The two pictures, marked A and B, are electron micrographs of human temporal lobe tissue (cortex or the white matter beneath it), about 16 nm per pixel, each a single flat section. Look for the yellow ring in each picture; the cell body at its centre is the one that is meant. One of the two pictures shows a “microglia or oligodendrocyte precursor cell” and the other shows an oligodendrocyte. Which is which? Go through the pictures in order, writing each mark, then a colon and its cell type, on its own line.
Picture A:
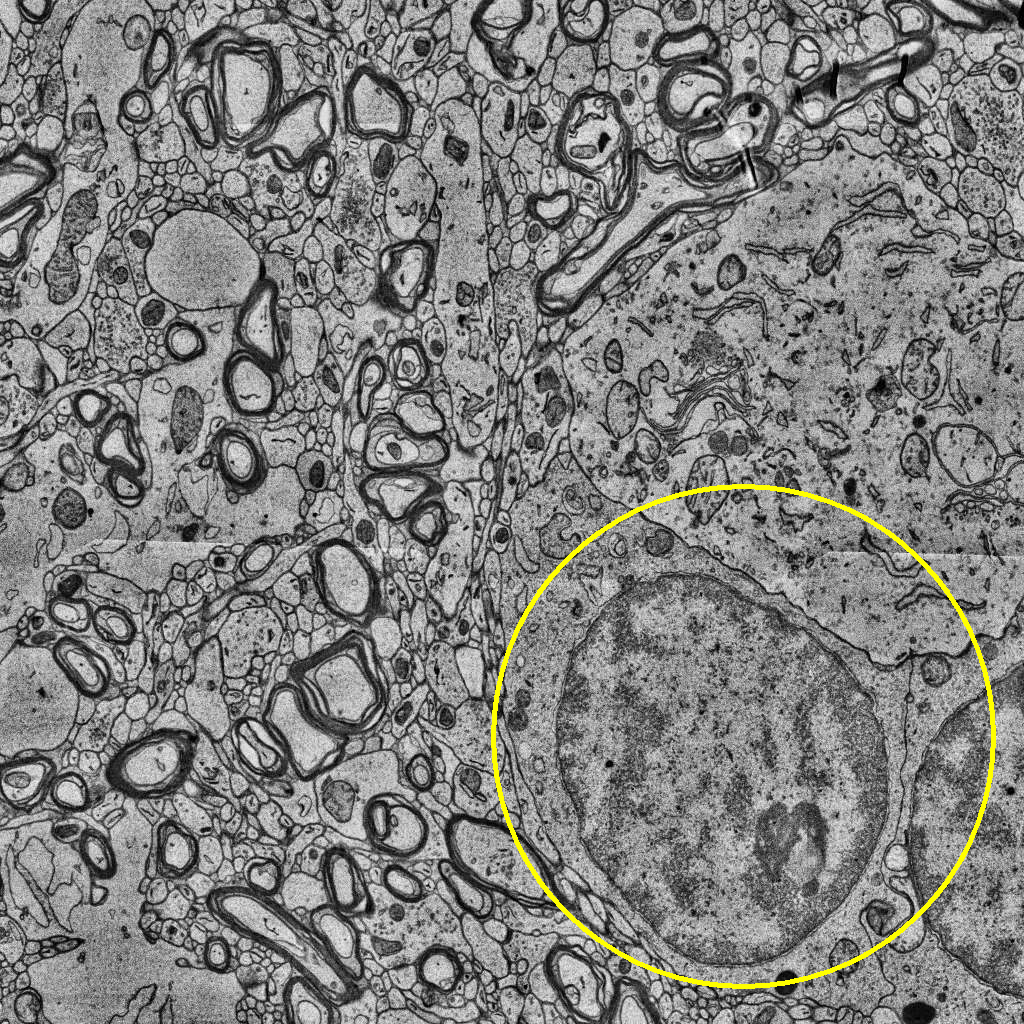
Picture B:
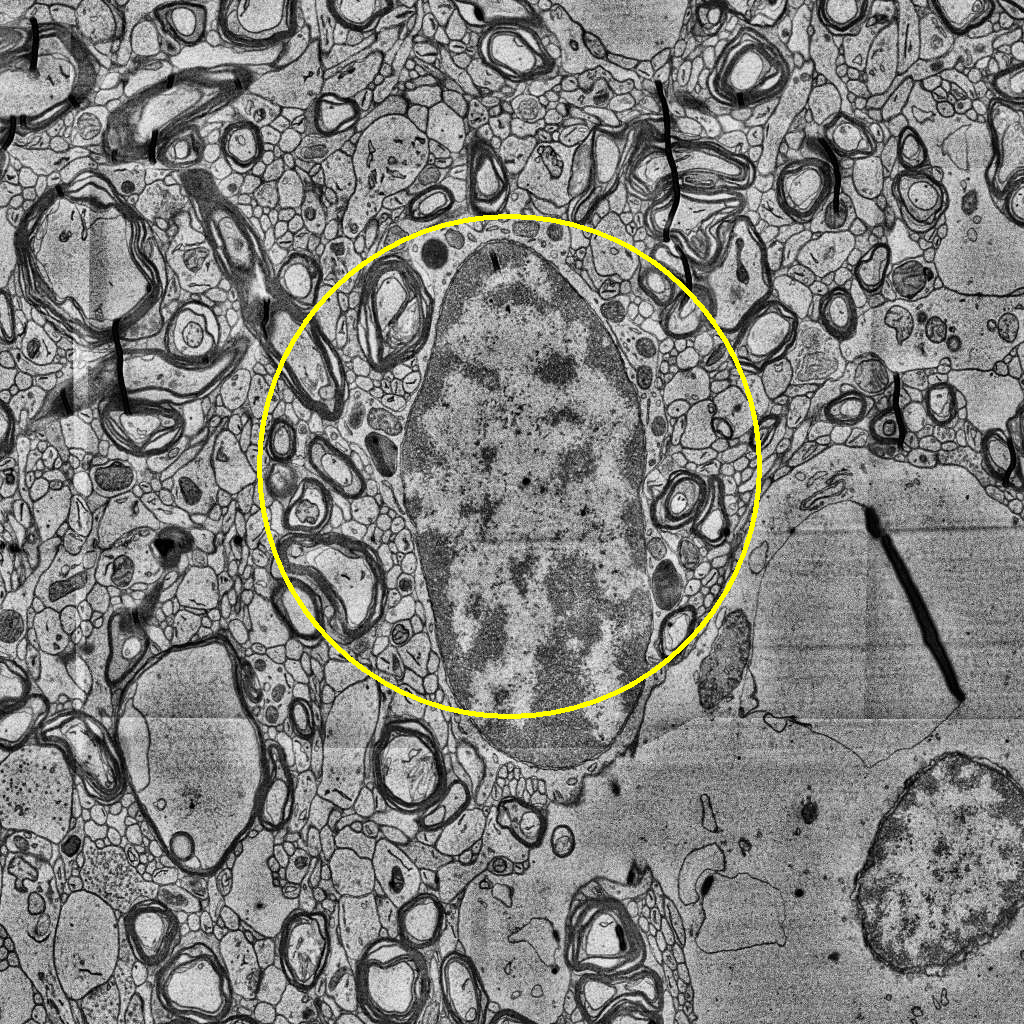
A: oligodendrocyte
B: microglia or oligodendrocyte precursor cell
